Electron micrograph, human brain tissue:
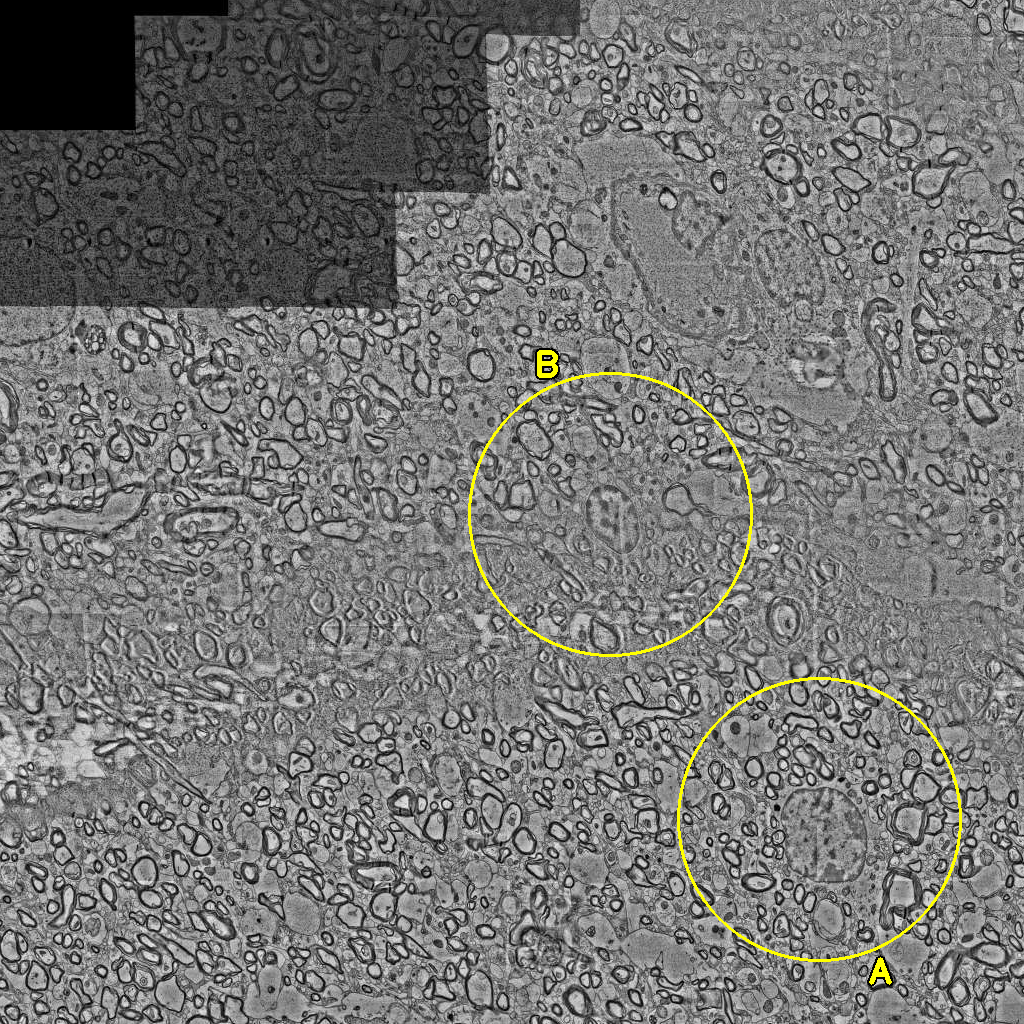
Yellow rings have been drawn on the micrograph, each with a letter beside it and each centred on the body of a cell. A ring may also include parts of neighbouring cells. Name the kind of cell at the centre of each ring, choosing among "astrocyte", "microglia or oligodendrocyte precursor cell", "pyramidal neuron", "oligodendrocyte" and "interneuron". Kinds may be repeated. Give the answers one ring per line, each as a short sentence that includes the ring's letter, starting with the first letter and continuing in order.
Ring A is placed on an oligodendrocyte.
Ring B is placed on a microglial cell or oligodendrocyte precursor cell.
